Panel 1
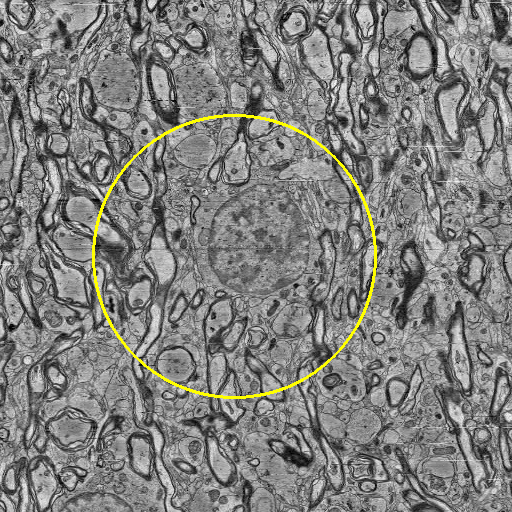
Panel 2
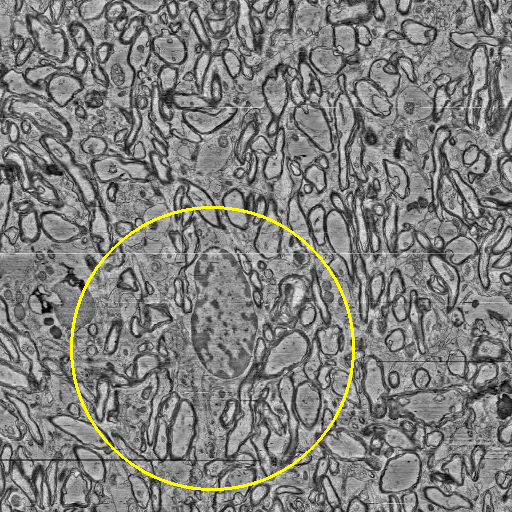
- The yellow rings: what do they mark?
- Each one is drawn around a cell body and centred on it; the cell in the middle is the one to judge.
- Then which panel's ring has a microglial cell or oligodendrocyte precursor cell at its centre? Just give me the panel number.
2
